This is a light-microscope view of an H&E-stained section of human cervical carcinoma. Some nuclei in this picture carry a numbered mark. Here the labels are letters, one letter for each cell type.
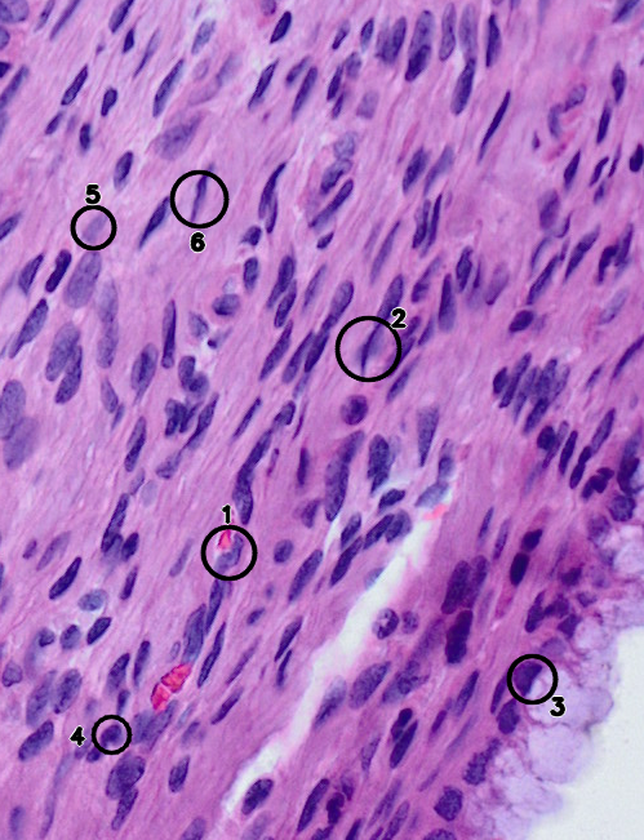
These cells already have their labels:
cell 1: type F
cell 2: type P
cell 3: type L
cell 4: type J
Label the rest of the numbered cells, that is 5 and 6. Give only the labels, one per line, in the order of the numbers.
type P
type P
